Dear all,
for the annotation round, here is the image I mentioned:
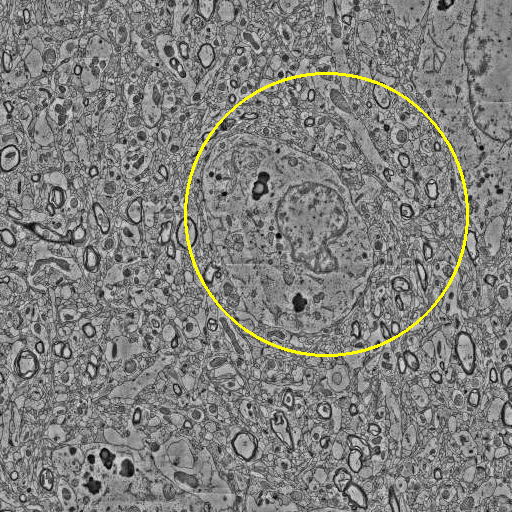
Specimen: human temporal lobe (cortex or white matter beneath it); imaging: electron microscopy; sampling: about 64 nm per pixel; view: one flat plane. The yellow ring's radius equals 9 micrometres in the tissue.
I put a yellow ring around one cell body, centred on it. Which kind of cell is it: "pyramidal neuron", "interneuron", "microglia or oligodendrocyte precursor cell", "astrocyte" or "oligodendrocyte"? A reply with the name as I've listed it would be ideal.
pyramidal neuron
